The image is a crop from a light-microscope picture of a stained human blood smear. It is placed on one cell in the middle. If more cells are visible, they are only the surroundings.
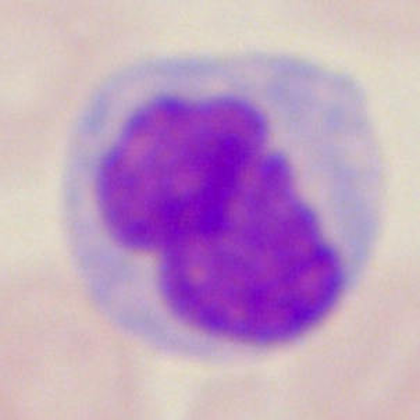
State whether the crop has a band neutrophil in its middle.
no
